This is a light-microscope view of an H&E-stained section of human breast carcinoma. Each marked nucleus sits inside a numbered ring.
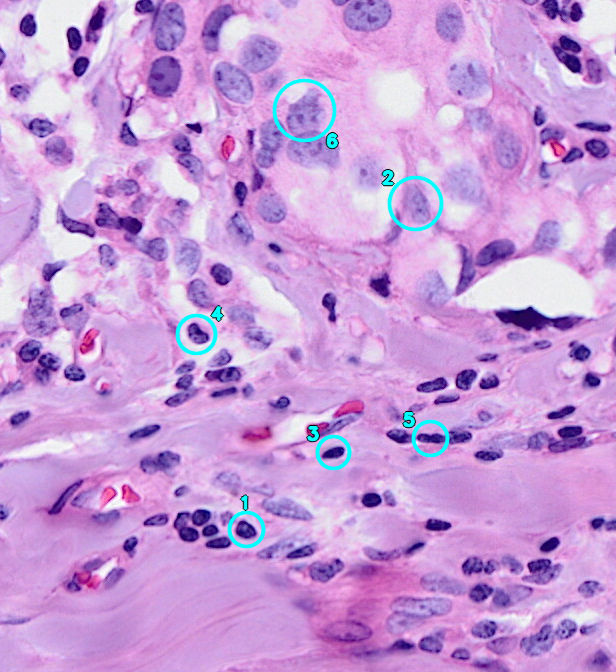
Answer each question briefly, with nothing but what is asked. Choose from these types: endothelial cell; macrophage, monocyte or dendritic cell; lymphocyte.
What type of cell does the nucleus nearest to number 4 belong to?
macrophage, monocyte or dendritic cell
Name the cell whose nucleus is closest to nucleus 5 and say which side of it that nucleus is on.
a lymphocyte, to the right of nucleus 5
